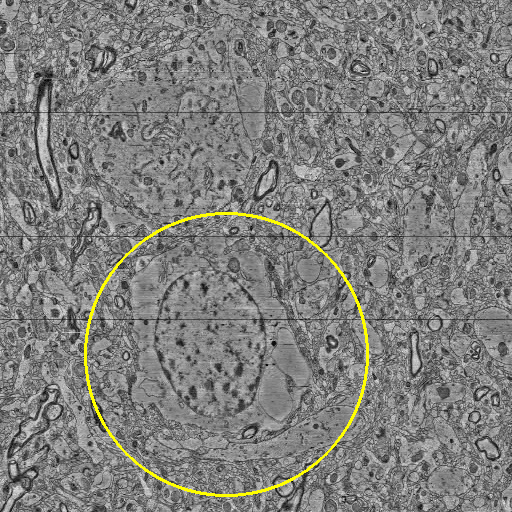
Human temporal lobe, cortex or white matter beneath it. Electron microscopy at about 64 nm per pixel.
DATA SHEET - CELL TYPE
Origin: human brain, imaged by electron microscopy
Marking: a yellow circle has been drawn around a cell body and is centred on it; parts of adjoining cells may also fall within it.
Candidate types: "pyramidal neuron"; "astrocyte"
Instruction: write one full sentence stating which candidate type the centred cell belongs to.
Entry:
The cell body at the centre of the yellow ring in this micrograph belongs to an astrocyte.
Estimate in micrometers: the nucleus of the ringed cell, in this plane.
The nucleus of the ringed cell is approximately 10 by 7 micrometres in this plane.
